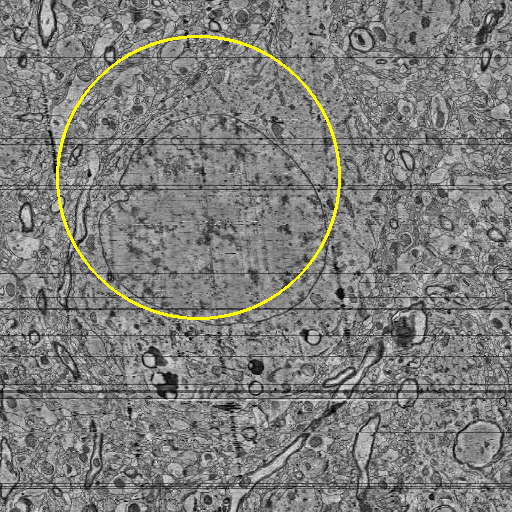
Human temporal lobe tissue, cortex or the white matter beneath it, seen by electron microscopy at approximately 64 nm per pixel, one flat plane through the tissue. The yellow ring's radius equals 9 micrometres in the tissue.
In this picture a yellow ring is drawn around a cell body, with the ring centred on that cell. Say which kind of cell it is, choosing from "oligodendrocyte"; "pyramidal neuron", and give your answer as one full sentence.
Here it is a pyramidal neuron that sits at the centre of the drawn yellow ring.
